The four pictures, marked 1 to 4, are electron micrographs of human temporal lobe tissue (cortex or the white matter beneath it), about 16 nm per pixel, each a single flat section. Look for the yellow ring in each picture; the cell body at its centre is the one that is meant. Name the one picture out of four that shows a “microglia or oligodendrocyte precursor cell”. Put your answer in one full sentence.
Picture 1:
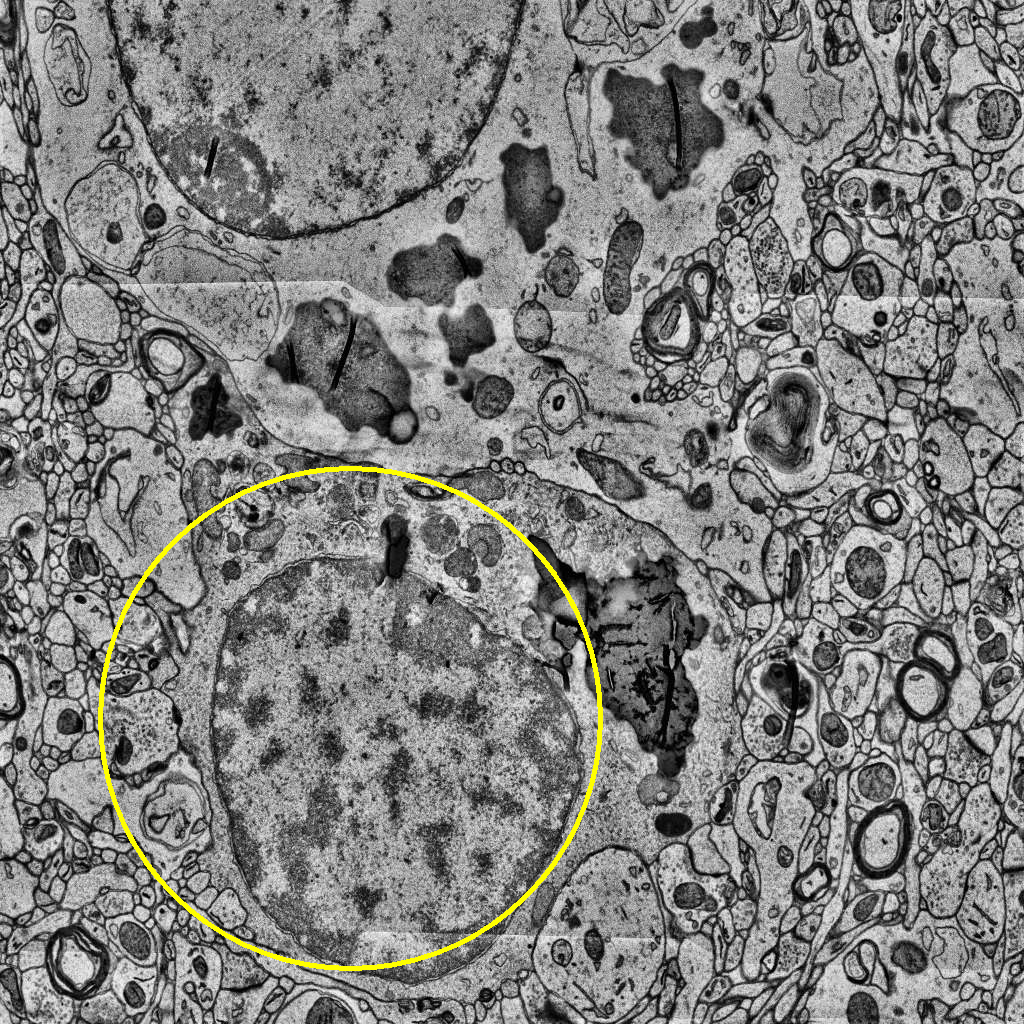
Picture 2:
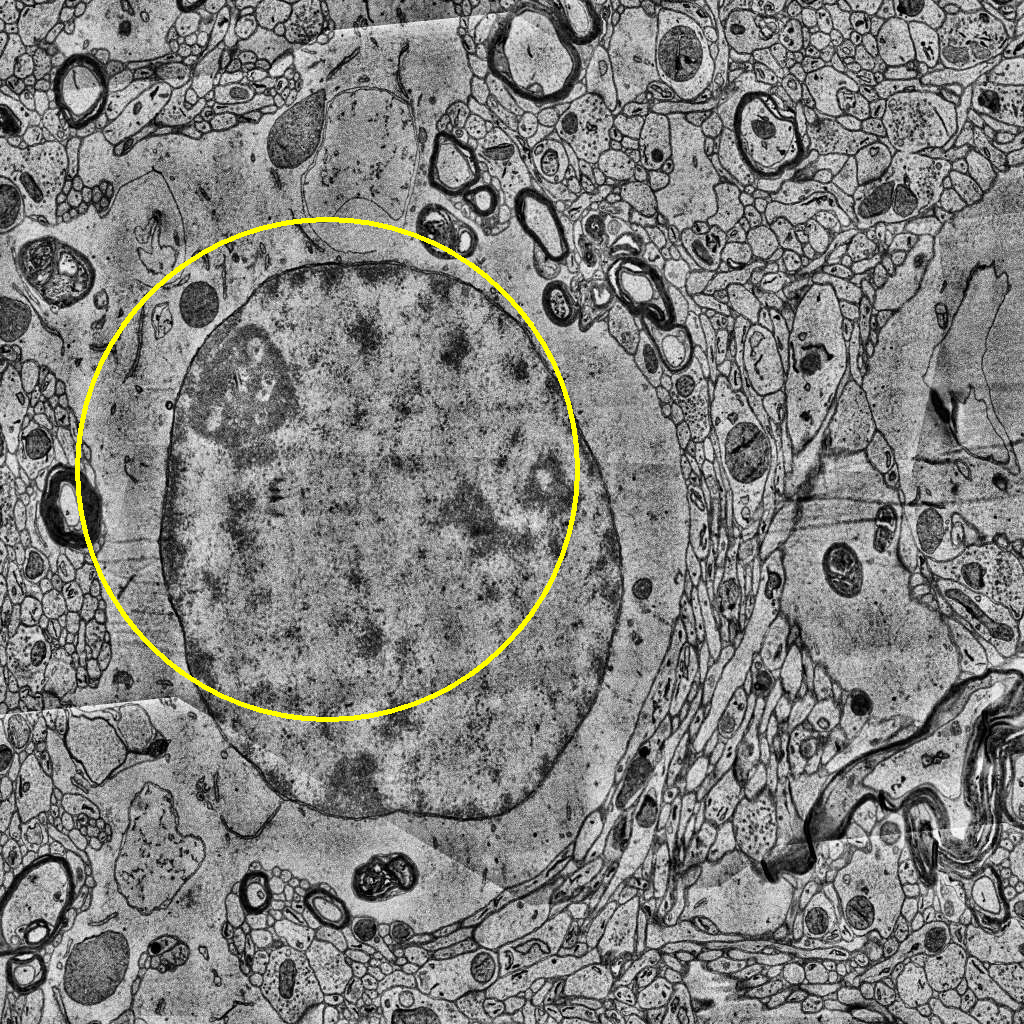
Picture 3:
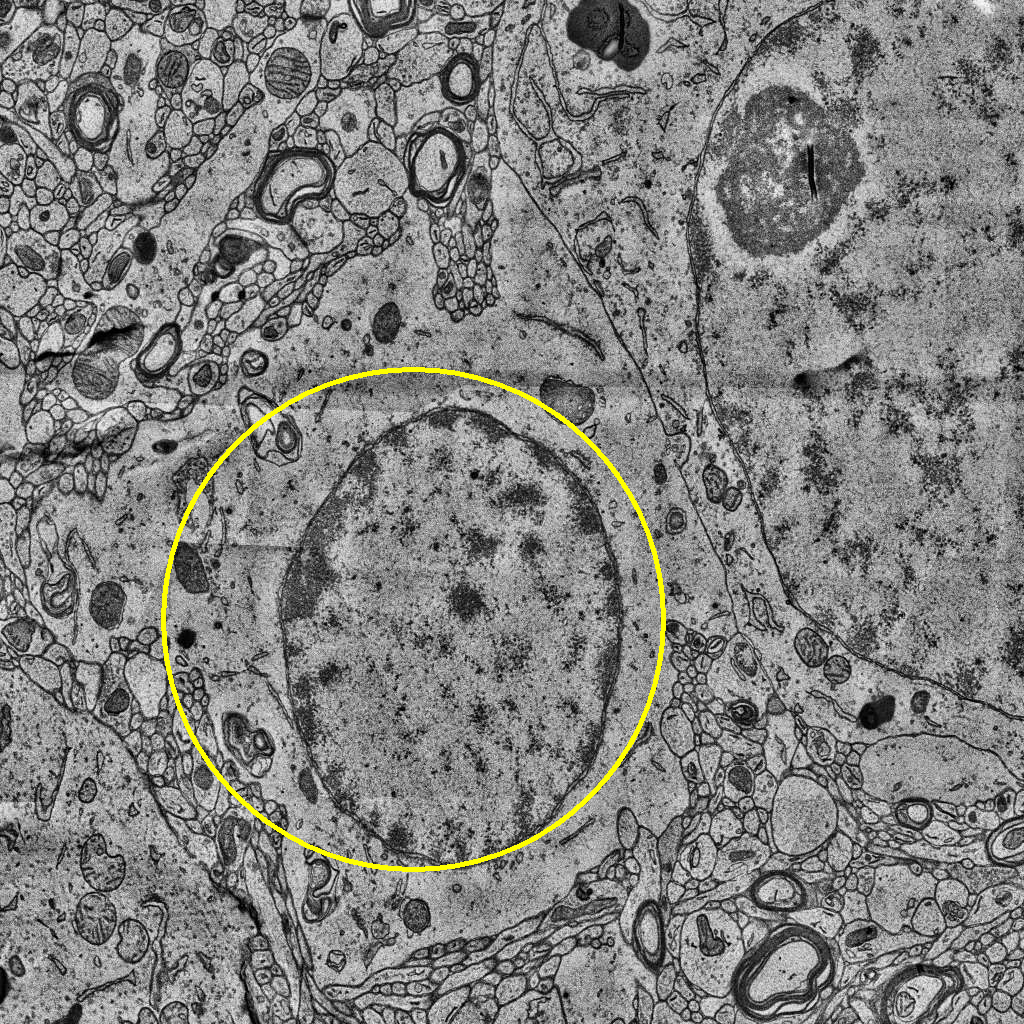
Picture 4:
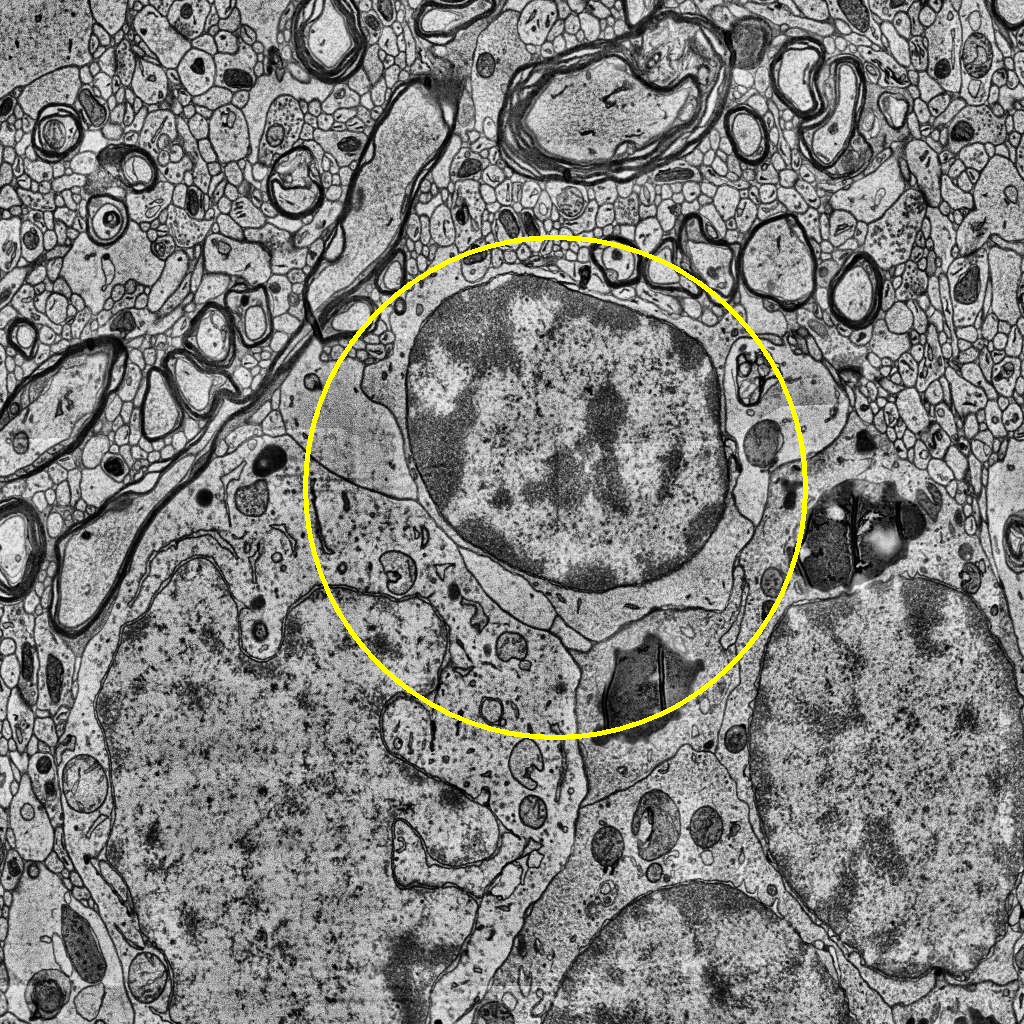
The cell in picture 4 is the “microglia or oligodendrocyte precursor cell”.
